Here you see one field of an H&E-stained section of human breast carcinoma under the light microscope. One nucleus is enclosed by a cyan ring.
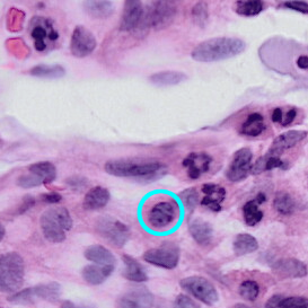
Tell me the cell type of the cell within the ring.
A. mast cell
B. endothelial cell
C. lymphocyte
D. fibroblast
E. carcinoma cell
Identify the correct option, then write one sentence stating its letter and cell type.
On this slide, the cell within the ring is a mast cell, so option A is right.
